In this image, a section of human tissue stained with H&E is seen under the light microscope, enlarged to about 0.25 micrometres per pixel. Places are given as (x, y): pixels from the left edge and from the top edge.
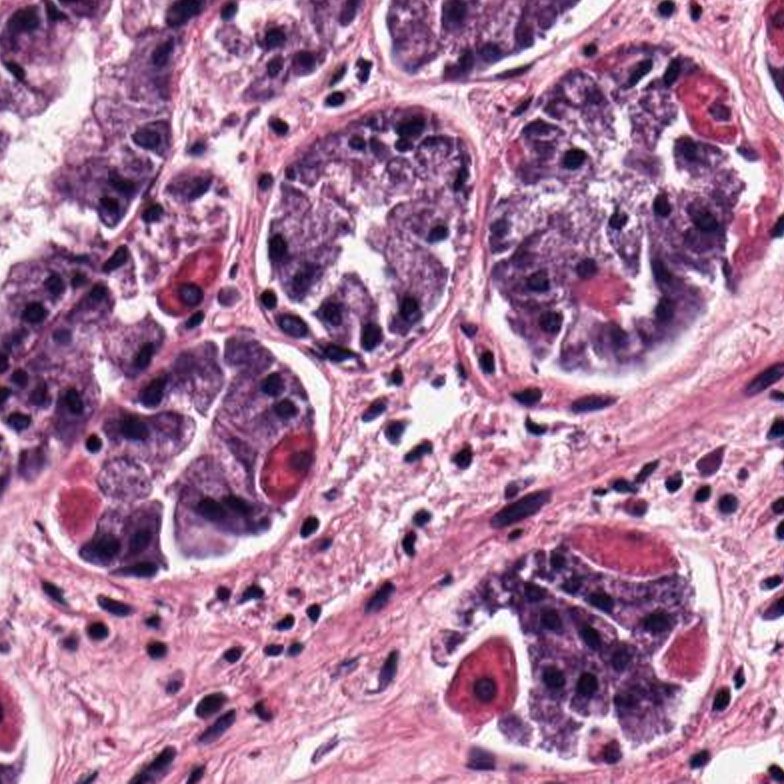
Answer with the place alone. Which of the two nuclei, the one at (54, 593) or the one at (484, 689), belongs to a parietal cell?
(484, 689)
